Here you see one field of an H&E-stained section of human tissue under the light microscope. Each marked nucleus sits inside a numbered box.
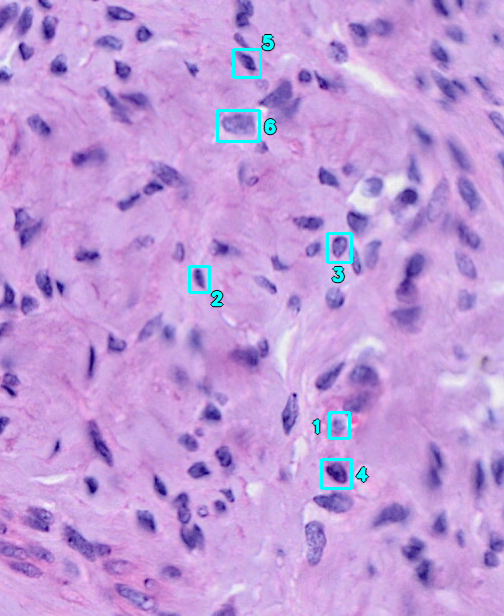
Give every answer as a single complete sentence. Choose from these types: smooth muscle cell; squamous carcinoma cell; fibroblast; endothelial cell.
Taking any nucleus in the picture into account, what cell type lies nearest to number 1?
The nucleus nearest to number 1 is that of an endothelial cell.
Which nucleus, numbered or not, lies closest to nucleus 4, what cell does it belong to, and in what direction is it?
Just below nucleus 4 lies the nearest nucleus, which belongs to a fibroblast.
